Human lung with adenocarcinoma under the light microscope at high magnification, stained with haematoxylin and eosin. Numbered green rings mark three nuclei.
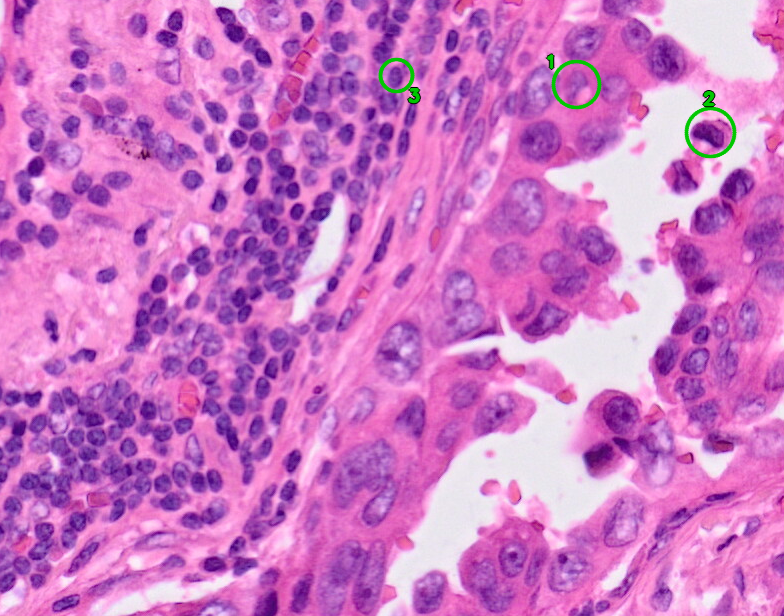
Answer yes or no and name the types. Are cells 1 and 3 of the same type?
No, cell 1 is a carcinoma cell, and as for cell 3, it is a lymphocyte.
